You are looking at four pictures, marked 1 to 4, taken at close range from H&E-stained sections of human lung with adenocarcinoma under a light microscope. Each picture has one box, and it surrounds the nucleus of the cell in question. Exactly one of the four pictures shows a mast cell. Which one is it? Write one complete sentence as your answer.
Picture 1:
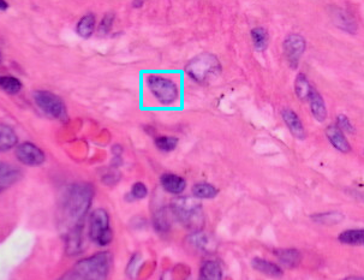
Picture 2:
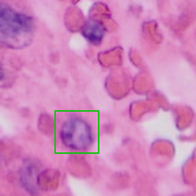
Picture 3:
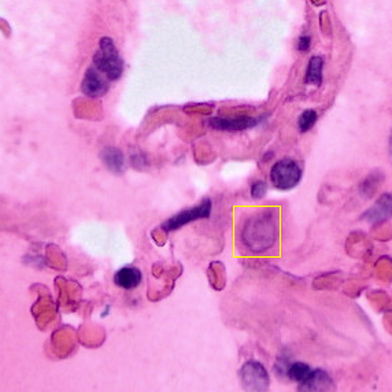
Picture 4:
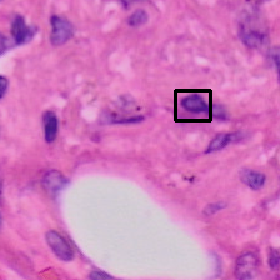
The picture with the mast cell is 1.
